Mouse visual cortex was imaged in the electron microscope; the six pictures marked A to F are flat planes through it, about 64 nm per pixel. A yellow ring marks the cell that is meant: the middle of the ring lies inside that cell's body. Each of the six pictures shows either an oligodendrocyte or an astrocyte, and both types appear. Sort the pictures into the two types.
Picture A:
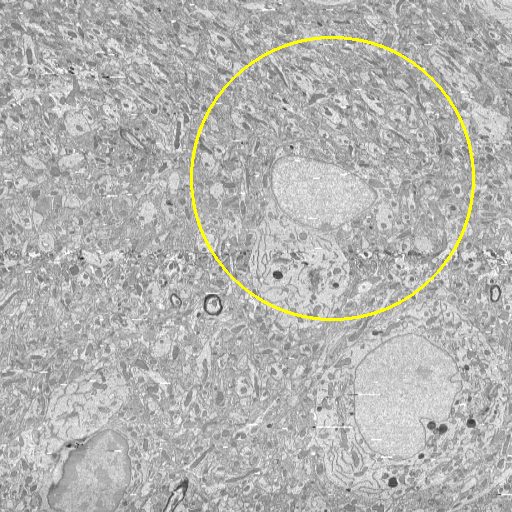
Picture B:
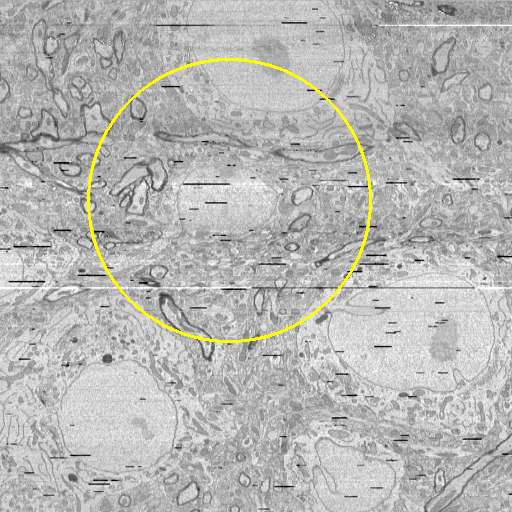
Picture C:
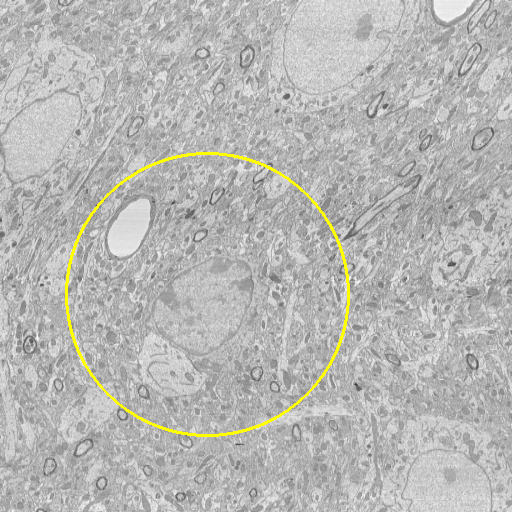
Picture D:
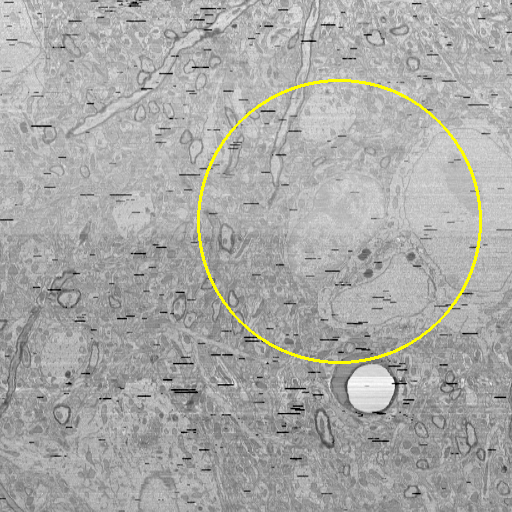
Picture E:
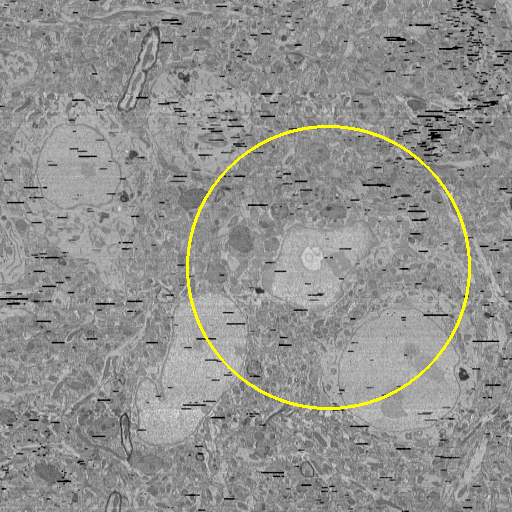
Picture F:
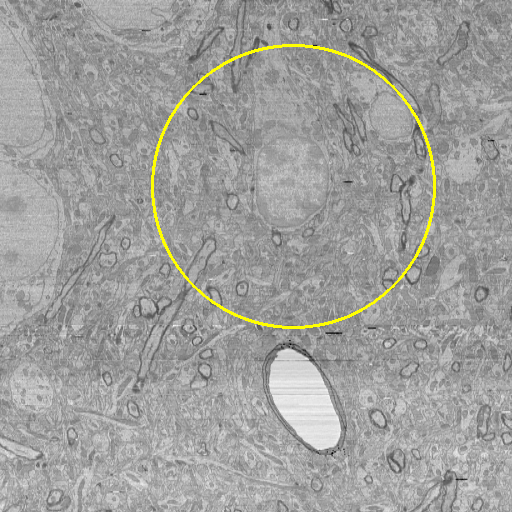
Pictures C, D and F show oligodendrocytes, and pictures A, B and E show astrocytes.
